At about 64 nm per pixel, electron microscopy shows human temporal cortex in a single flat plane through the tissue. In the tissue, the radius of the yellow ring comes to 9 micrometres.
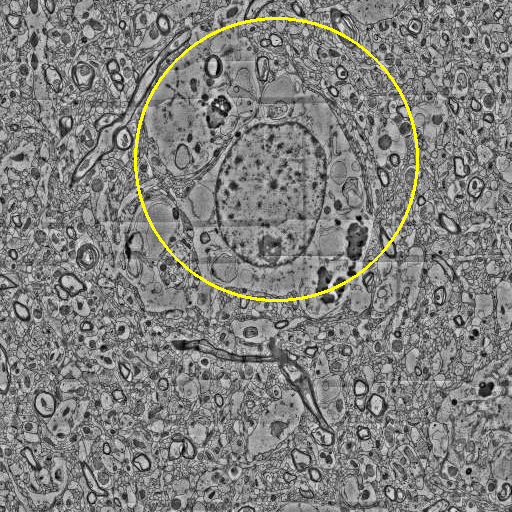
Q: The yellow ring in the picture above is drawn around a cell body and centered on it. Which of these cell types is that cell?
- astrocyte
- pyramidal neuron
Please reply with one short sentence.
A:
The cell body at the ring's center belongs to an astrocyte.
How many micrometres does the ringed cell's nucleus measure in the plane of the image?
The nucleus has a long axis of about 9 micrometres and a short axis of about 7 micrometres in this plane.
